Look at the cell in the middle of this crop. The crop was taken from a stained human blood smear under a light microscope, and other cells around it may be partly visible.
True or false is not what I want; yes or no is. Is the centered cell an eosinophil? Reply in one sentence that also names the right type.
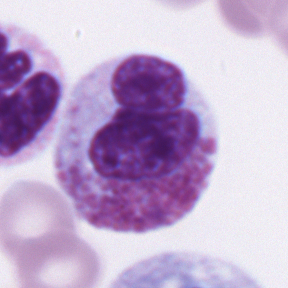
Yes, that is an eosinophil in the middle of the crop.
